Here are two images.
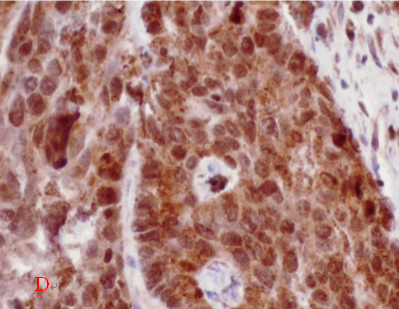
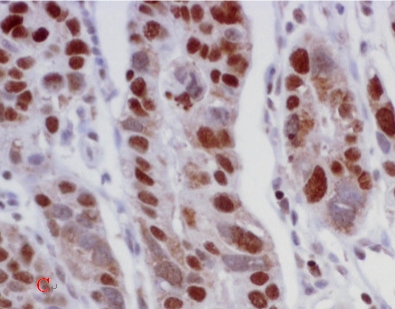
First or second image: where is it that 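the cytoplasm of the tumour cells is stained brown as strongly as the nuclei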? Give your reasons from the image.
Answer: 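First image: brown stain fills both the nuclei and the cytoplasm of the tumour cells. Second image: brown stain is mostly in the nuclei, with pale cytoplasm around them. That points to this answer: the first image.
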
